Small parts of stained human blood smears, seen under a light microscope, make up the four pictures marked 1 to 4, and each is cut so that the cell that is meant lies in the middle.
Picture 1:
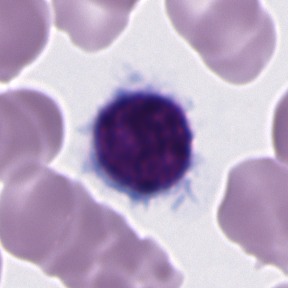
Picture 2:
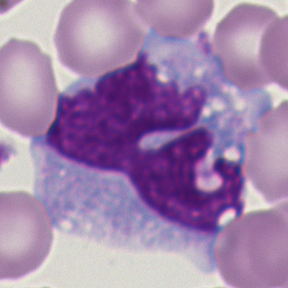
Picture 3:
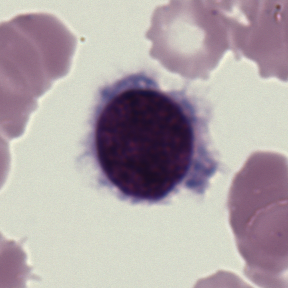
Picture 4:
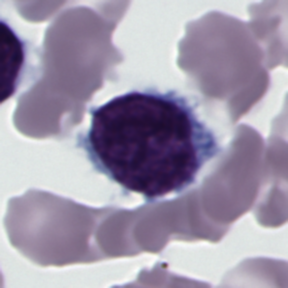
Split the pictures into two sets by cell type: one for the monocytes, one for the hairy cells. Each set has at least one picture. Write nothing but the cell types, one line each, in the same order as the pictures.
hairy cell
monocyte
hairy cell
hairy cell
